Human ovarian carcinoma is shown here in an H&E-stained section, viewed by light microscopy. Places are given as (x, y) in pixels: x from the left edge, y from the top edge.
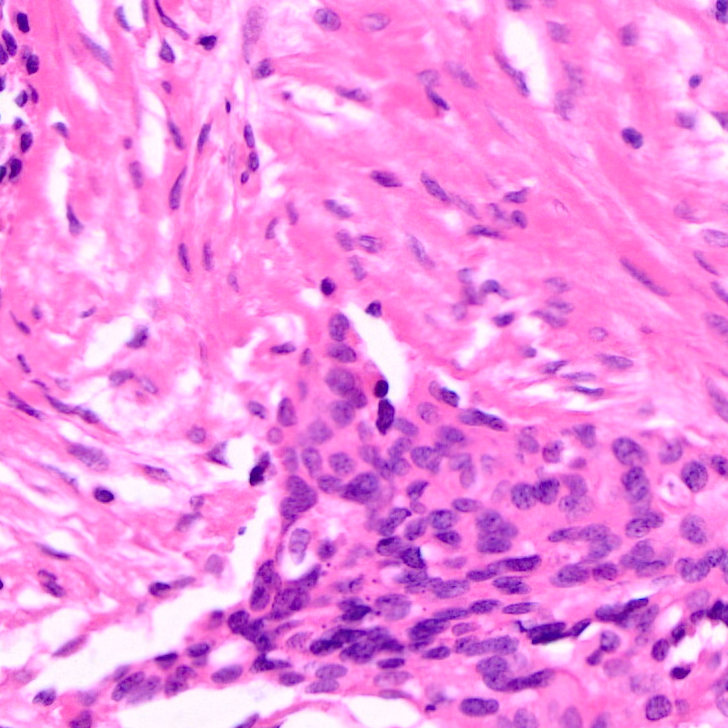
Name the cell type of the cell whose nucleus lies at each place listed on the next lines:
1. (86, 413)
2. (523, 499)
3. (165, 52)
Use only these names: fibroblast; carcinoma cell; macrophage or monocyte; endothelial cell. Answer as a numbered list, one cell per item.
1. fibroblast
2. carcinoma cell
3. fibroblast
